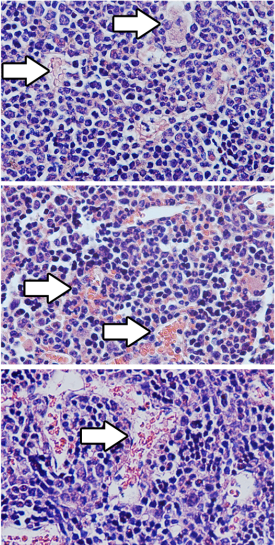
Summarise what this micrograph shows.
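Scattered among them are open spaces that hold pink-red anucleate red blood cells, bordered by thin, flattened cells; these are vessels. Some larger cells have paler, more abundant pink cytoplasm.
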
